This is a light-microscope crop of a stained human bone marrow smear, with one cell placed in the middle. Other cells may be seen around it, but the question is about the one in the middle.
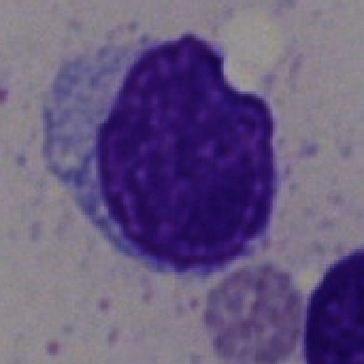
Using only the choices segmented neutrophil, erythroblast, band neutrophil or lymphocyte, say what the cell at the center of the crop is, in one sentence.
By classification, the middle cell of this crop is a lymphocyte.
